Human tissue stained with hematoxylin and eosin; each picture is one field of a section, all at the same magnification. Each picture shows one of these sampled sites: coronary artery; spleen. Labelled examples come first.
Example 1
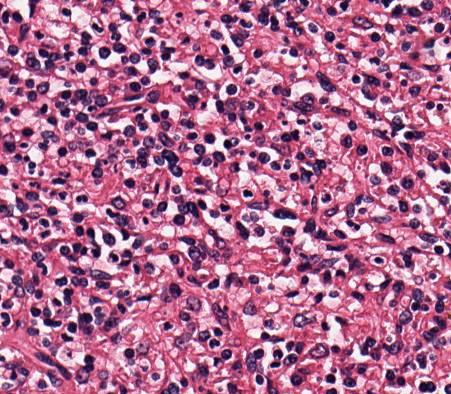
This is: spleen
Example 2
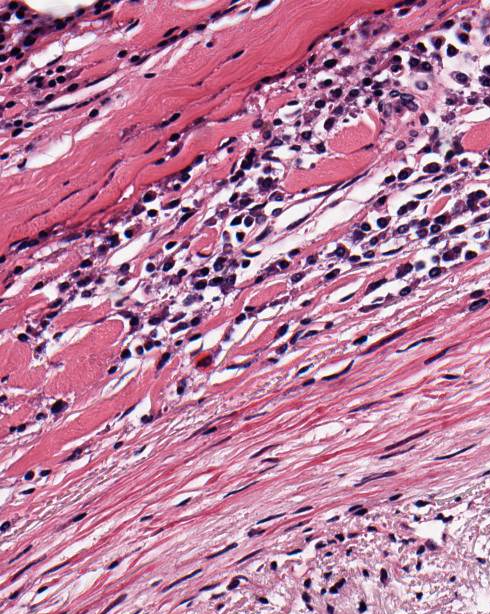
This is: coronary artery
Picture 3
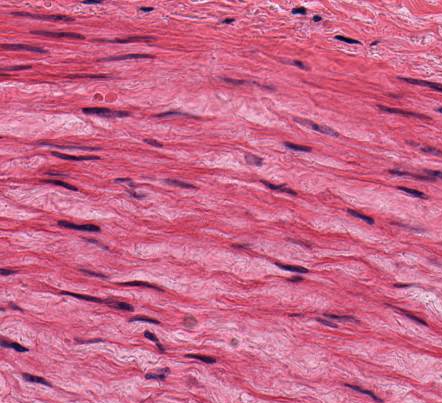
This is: coronary artery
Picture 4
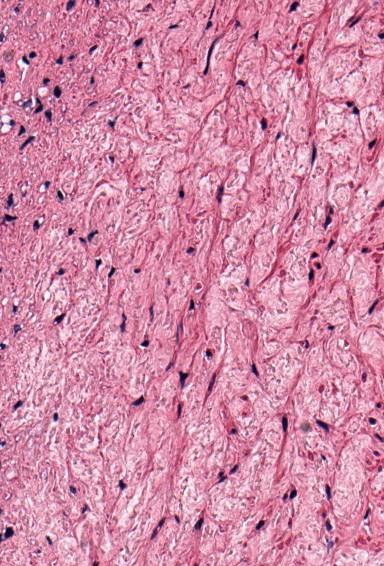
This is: coronary artery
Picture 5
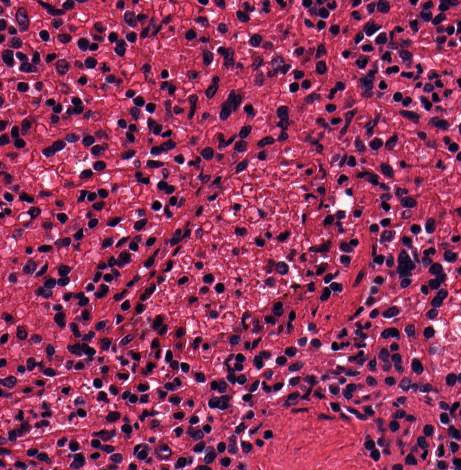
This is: spleen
